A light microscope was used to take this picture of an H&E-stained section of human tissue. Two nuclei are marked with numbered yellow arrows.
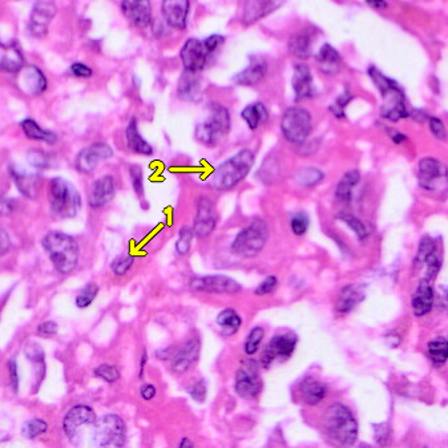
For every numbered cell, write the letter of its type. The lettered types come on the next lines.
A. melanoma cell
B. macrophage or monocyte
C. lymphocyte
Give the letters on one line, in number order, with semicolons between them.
B; A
